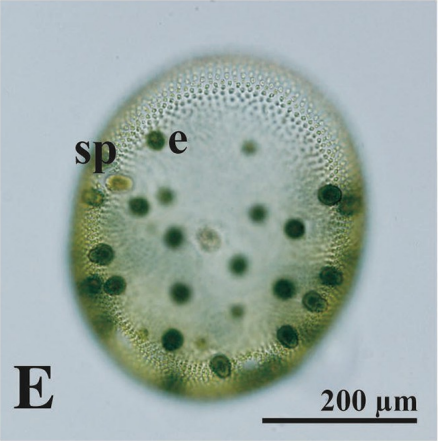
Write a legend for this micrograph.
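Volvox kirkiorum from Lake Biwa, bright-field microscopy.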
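This is a single oval colony of a green alga, a hollow sphere whose surface is a single layer of many tiny, closely spaced cells, denser and greener toward one pole. Scattered inside the surface layer are numerous much larger, round, dark green cells, spaced apart and more frequent in the posterior half. A few pale yellowish round bodies also sit among them and differ in colour from the dark green cells.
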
